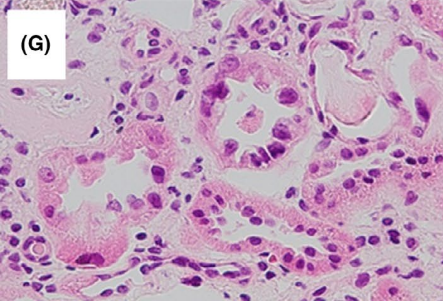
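This renal biopsy shows cortical tubules lined by enlarged proximal tubular epithelial cells. The lining cells are cuboidal to columnar with abundant pink, eosinophilic cytoplasm. Their nuclei are round and purple. Between the tubules lies interstitium with scattered small nuclei.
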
